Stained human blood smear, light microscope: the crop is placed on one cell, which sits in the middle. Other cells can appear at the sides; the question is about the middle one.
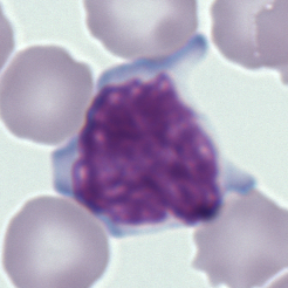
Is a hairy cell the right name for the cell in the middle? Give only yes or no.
no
